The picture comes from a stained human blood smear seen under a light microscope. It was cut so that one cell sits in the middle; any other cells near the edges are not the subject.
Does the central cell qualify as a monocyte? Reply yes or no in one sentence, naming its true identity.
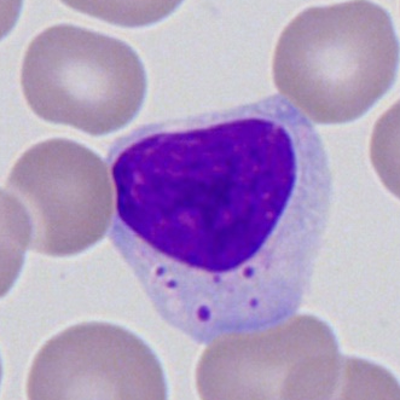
No, the centered cell is a lymphocyte and not a monocyte at all.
